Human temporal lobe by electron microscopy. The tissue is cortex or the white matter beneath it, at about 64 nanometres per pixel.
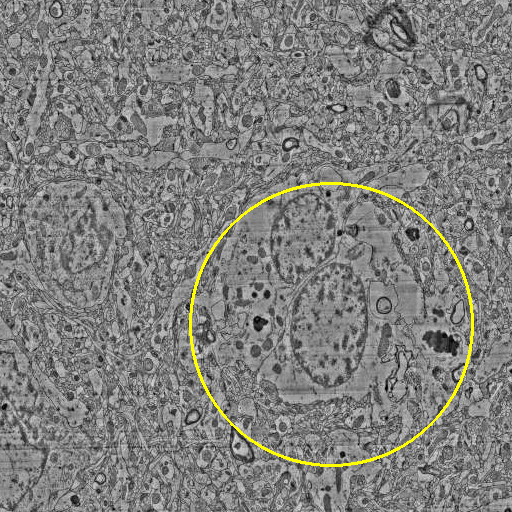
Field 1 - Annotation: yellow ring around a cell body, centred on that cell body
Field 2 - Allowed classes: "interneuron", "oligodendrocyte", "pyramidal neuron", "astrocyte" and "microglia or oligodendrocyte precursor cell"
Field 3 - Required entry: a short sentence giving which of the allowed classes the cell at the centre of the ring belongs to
The centred cell is an astrocyte.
